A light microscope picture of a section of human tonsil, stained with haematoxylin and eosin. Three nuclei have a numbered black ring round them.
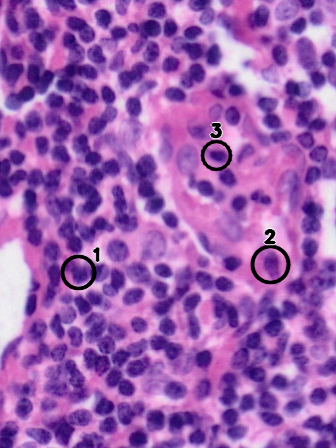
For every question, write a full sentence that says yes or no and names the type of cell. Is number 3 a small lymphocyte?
No, it is an endothelial cell that is marked with number 3, not a small lymphocyte.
